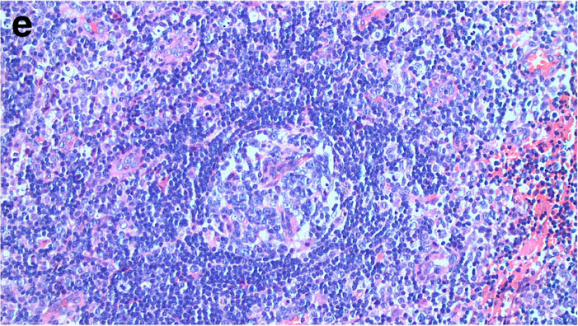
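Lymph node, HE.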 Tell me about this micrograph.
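In the centre lies a small rounded follicle: a pale core of loosely arranged cells with lighter nuclei and some pink strands, surrounded by a thick, well-defined ring of small, tightly packed, darkly staining lymphocytes forming a mantle. Around it the tissue is a looser mixture of lymphoid cells, paler larger cells and small vessels, with red blood cells in a band at the right edge. The pale core is small relative to the dark mantle, consistent with a small, atrophic germinal centre within a lymphoid follicle.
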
